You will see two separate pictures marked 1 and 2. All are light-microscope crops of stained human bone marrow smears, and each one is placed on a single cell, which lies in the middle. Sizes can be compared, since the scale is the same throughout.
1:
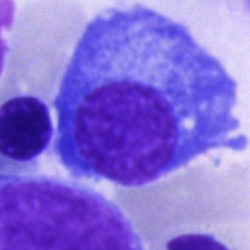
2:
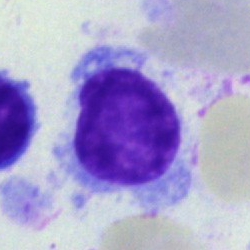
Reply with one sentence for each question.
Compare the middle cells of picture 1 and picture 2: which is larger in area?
Larger is the cell in picture 1, at roughly 1.5 times the area of the other.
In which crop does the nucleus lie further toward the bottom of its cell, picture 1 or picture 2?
It is the nucleus in picture 1 that lies further toward the bottom of its cell.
